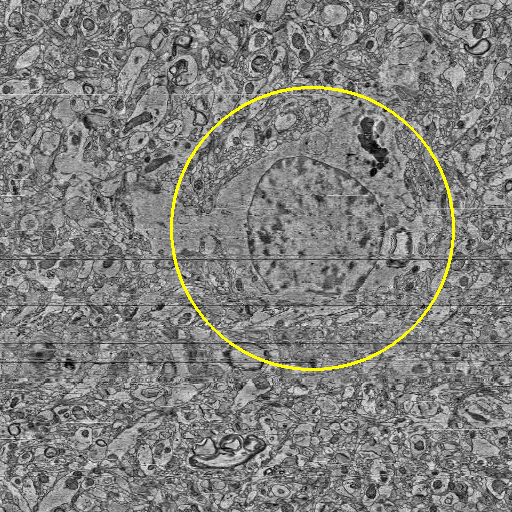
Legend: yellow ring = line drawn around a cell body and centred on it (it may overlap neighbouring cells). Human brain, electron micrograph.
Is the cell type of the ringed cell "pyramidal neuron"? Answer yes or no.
no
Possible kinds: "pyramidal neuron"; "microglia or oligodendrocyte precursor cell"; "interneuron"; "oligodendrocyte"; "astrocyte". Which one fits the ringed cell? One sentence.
As it turns out, the cell at the ring centre is an astrocyte.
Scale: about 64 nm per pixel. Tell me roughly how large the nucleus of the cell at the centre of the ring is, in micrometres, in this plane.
In this plane the nucleus measures roughly 11 by 9 micrometers.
